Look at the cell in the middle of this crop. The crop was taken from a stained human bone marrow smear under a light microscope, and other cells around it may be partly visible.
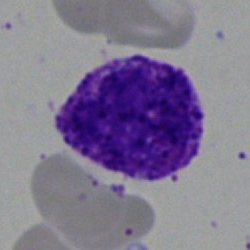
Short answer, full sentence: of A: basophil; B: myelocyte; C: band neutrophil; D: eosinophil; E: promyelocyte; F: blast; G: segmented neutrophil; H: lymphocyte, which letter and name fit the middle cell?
Option A holds, for the cell in the middle is a basophil.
